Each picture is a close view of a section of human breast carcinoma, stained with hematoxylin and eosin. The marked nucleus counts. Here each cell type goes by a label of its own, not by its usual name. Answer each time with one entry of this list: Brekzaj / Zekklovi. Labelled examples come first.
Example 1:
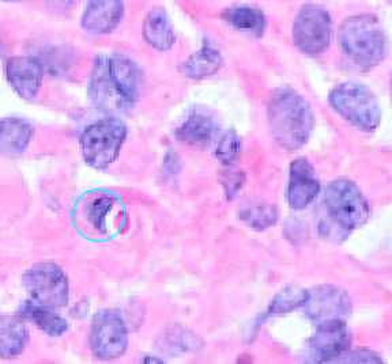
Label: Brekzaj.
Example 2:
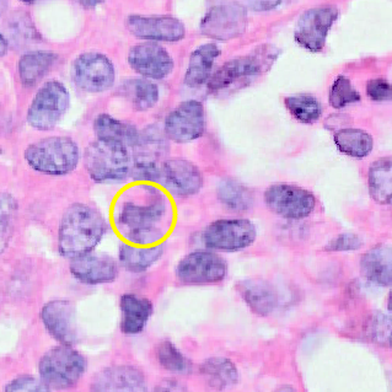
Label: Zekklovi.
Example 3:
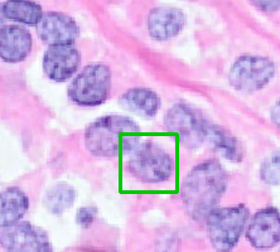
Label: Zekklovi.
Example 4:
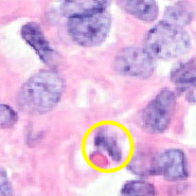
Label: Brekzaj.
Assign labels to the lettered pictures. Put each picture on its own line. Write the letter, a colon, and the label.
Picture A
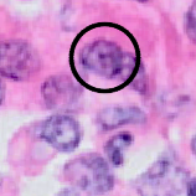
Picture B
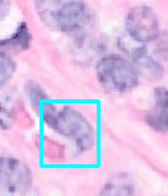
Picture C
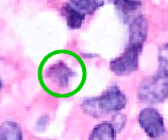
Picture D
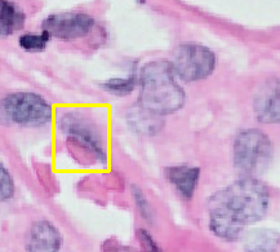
A: Zekklovi.
B: Brekzaj.
C: Zekklovi.
D: Brekzaj.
